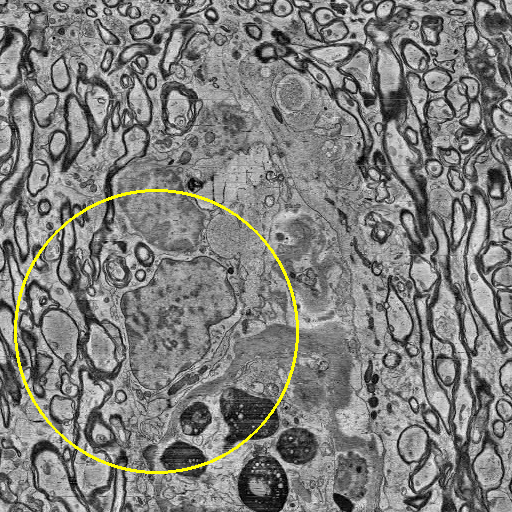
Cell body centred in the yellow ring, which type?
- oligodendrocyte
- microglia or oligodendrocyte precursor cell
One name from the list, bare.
microglia or oligodendrocyte precursor cell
